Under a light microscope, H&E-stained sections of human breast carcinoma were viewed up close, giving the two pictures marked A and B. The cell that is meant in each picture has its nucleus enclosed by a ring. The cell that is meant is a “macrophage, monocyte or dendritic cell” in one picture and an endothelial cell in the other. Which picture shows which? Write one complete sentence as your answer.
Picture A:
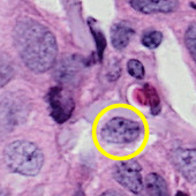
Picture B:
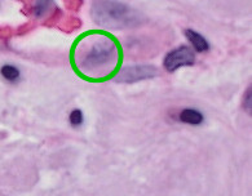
Picture A is of a “macrophage, monocyte or dendritic cell”, and picture B is of an endothelial cell.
